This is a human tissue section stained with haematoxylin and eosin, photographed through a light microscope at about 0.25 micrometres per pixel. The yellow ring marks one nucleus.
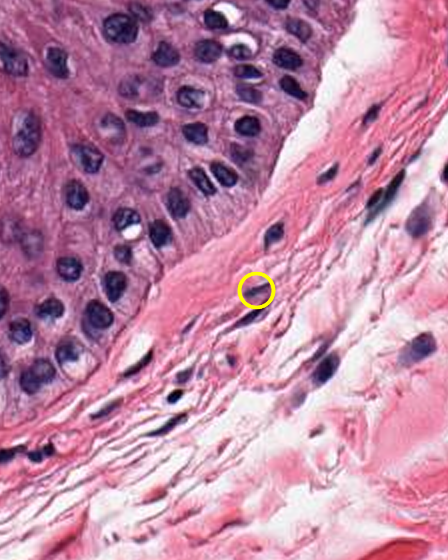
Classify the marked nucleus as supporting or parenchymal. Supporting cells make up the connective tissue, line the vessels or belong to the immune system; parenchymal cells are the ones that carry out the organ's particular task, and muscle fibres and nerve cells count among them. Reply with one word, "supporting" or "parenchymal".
supporting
